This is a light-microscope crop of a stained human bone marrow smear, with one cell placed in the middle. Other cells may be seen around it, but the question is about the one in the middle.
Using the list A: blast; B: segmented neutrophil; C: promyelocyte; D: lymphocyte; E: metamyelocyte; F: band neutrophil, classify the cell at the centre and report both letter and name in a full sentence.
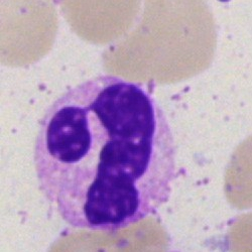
The cell at the centre, correctly named in option B, is a segmented neutrophil.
